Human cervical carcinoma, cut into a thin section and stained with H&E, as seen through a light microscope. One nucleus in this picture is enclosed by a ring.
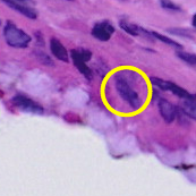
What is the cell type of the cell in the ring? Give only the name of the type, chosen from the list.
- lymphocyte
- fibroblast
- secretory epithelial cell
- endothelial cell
secretory epithelial cell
